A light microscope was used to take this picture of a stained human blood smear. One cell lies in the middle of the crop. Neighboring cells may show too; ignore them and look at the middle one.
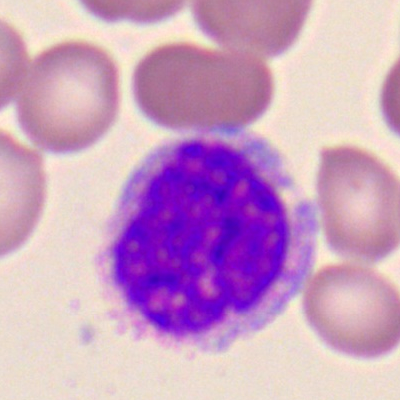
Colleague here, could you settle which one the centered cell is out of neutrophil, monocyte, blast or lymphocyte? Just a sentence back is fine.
Among the cells in view, the one in the middle is a monocyte.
